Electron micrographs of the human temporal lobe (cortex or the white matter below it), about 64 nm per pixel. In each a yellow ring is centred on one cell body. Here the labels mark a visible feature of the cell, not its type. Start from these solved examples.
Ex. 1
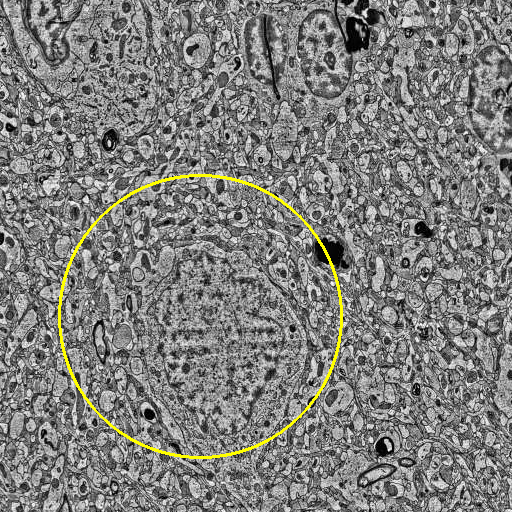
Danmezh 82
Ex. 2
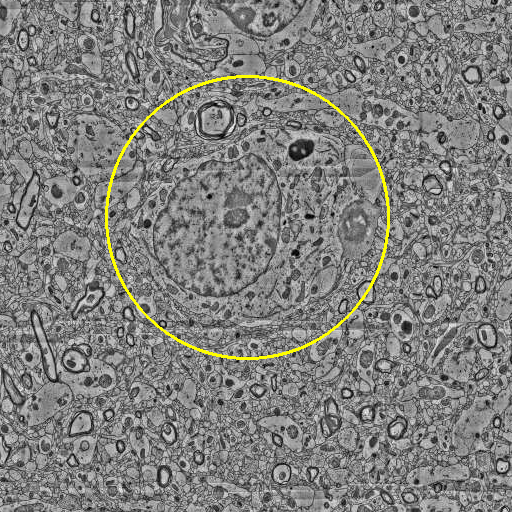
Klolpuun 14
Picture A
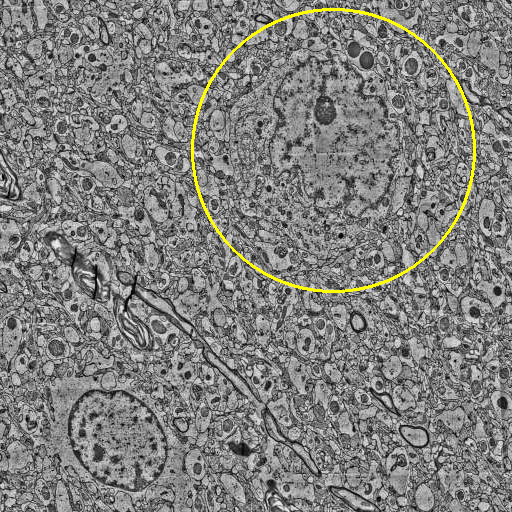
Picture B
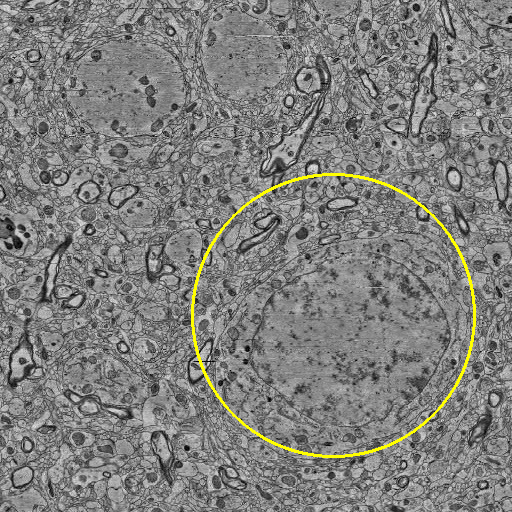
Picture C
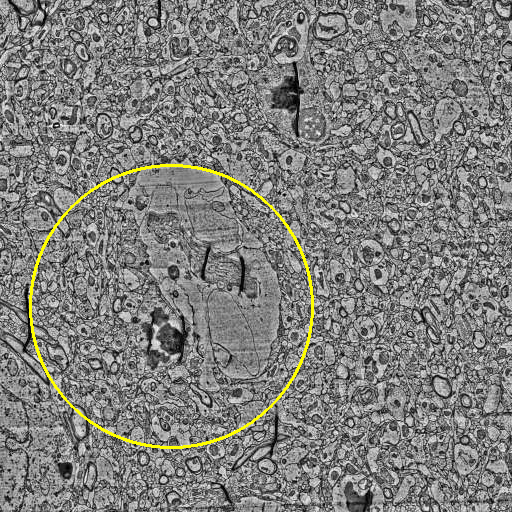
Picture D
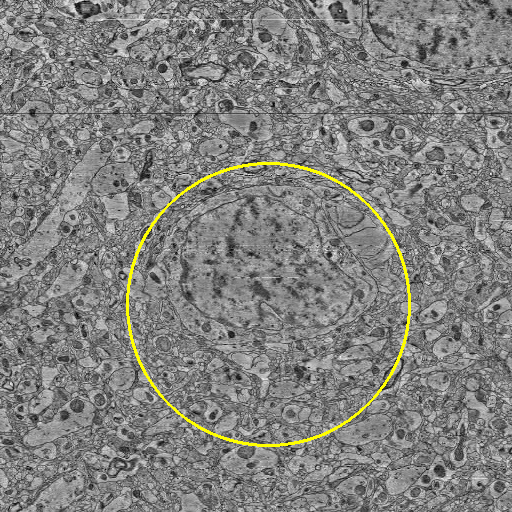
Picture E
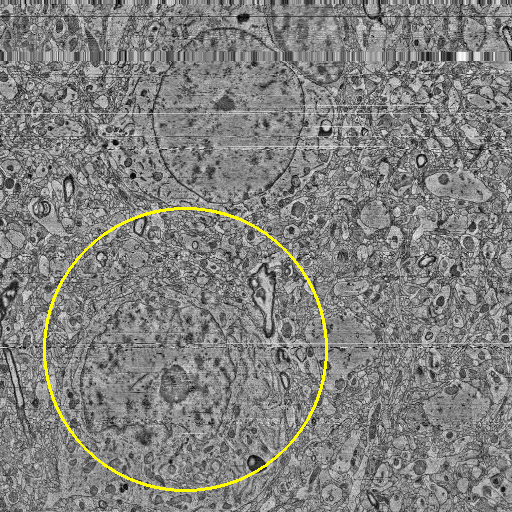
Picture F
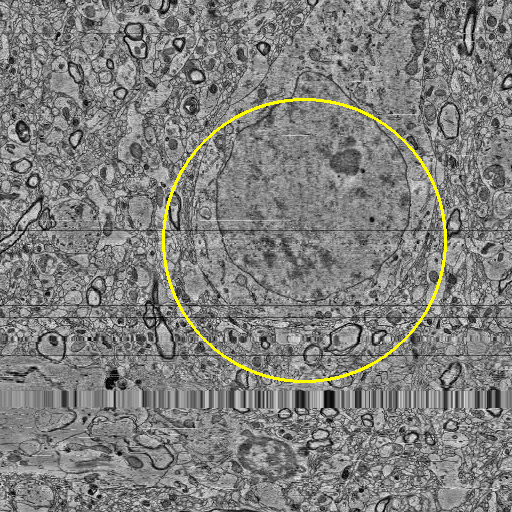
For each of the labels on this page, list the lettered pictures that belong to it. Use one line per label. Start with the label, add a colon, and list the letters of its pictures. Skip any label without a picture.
Danmezh 82: B, C, D
Klolpuun 14: A, E, F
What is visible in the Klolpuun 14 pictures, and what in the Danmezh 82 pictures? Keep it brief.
Klolpuun 14: nucleolus seen; Danmezh 82: no nucleolus seen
